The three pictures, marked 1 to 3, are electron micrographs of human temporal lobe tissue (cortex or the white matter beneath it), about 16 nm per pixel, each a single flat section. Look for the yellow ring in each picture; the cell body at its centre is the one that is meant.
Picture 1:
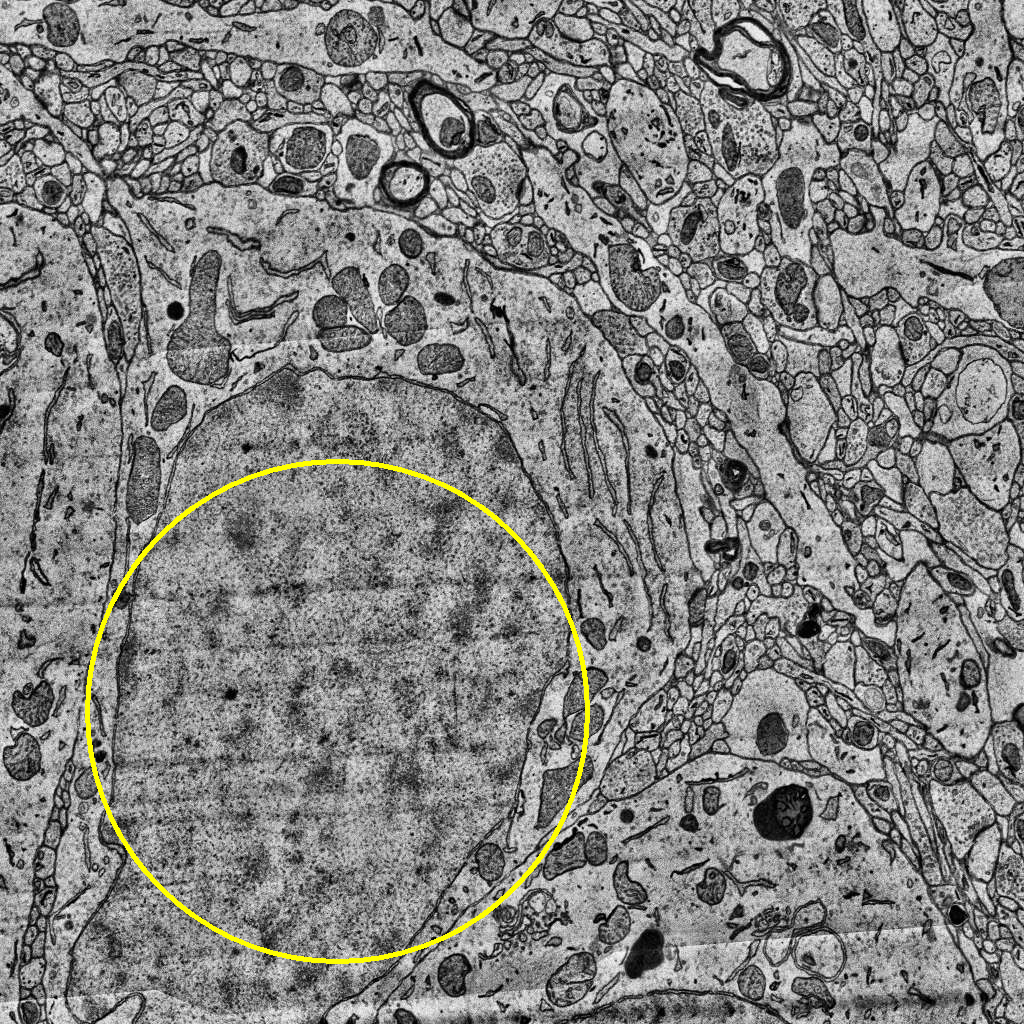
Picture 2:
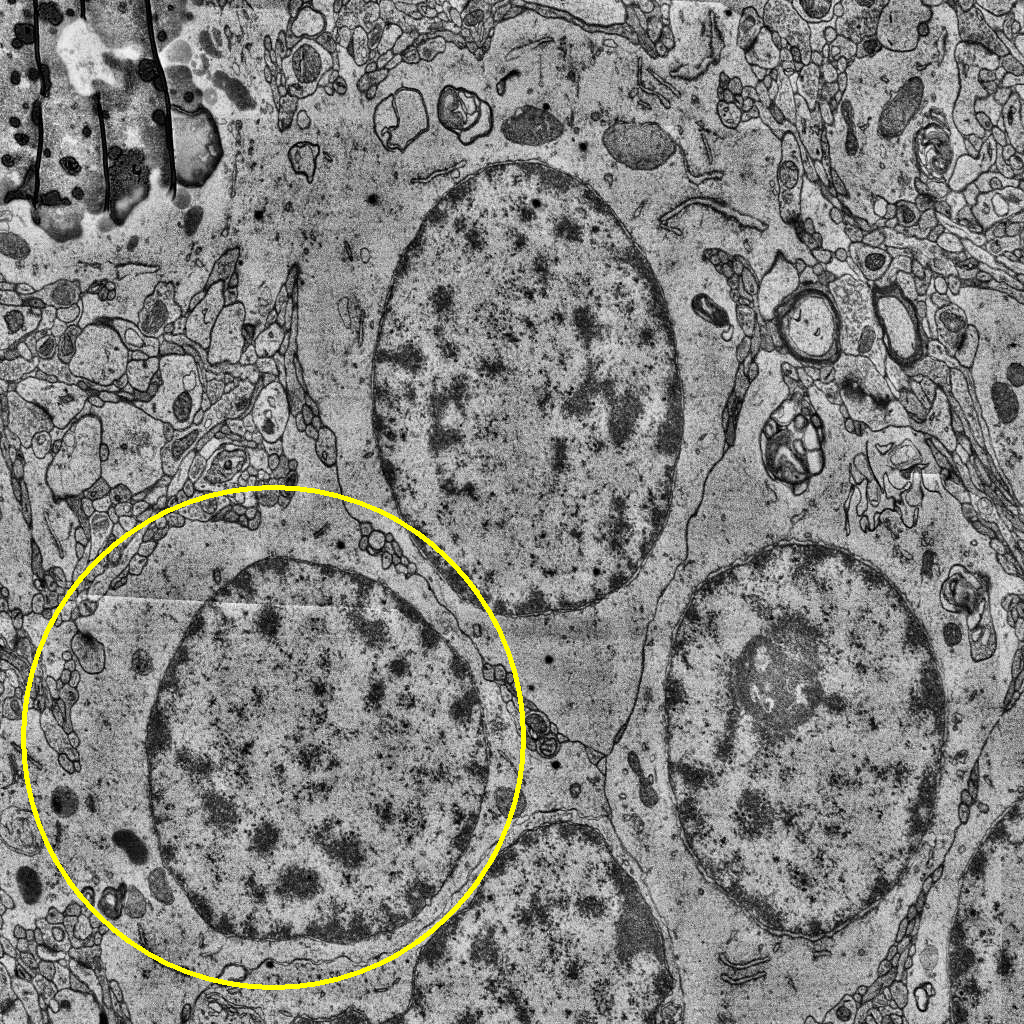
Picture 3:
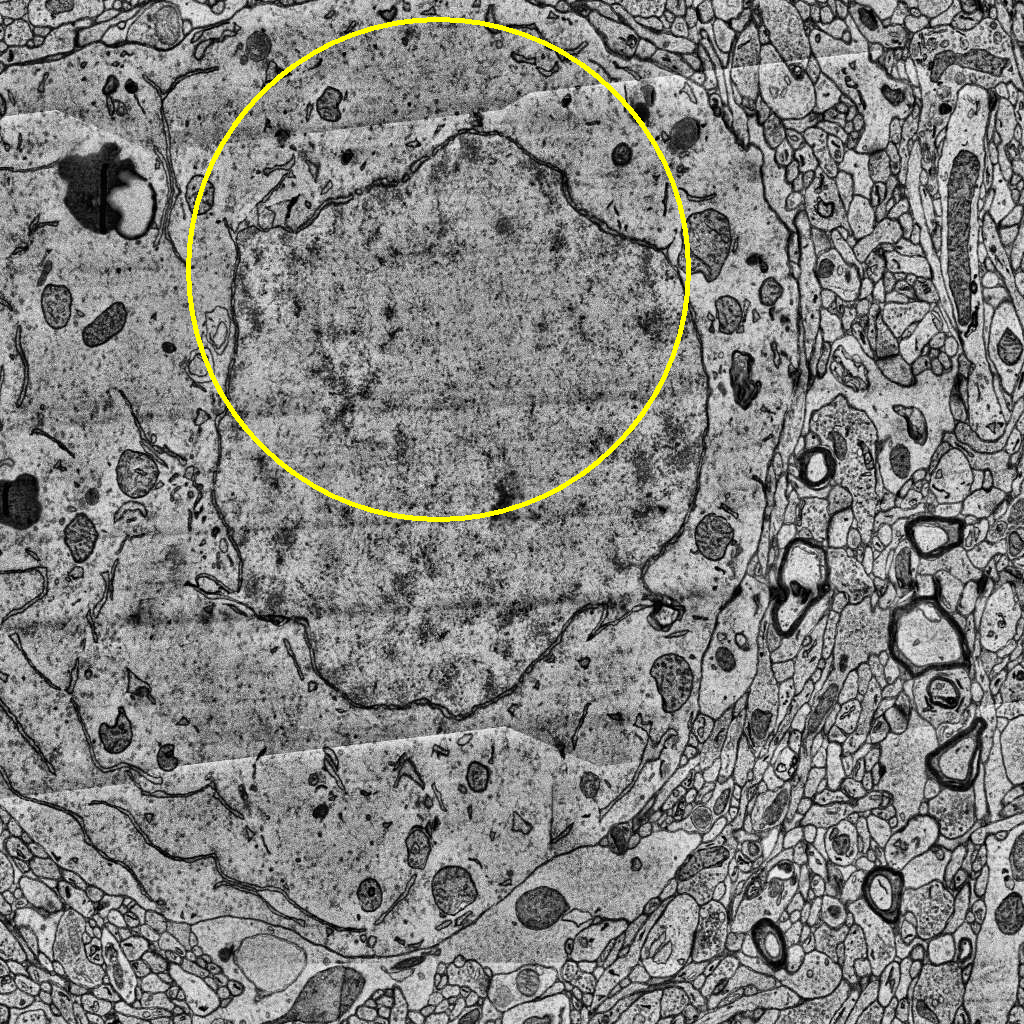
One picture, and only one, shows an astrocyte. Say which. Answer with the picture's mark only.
2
